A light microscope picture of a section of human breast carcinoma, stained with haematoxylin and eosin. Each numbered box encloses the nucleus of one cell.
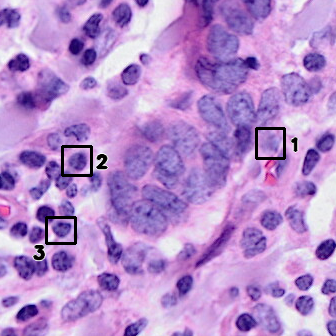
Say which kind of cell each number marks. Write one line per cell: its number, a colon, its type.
1: endothelial cell
2: lymphocyte
3: lymphocyte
